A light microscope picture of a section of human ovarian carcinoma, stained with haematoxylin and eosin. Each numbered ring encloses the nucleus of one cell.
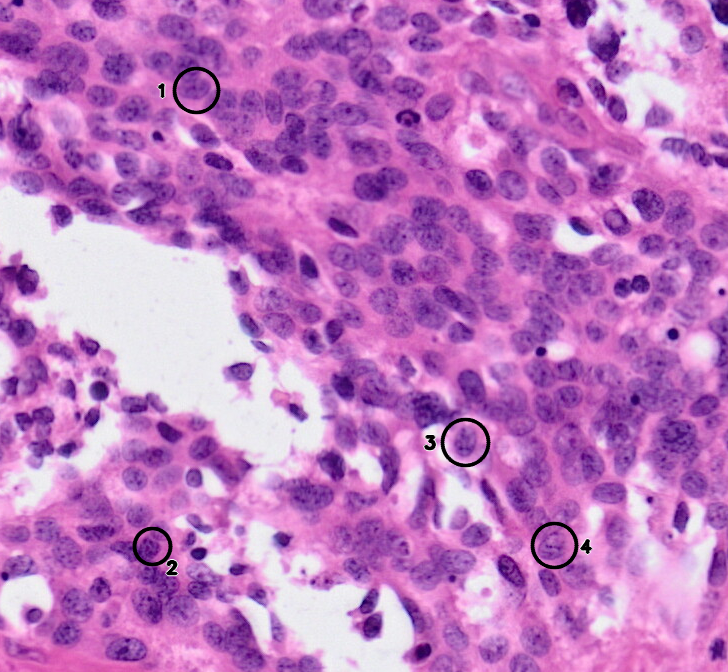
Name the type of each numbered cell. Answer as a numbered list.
1. carcinoma cell
2. carcinoma cell
3. macrophage or monocyte
4. carcinoma cell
